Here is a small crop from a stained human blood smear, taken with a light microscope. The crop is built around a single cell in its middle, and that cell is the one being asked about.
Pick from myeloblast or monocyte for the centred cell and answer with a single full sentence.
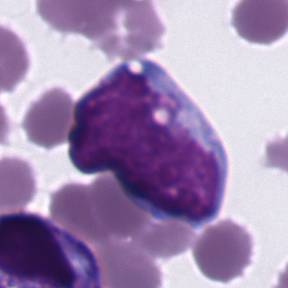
The central cell shown in this smear crop is a myeloblast.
